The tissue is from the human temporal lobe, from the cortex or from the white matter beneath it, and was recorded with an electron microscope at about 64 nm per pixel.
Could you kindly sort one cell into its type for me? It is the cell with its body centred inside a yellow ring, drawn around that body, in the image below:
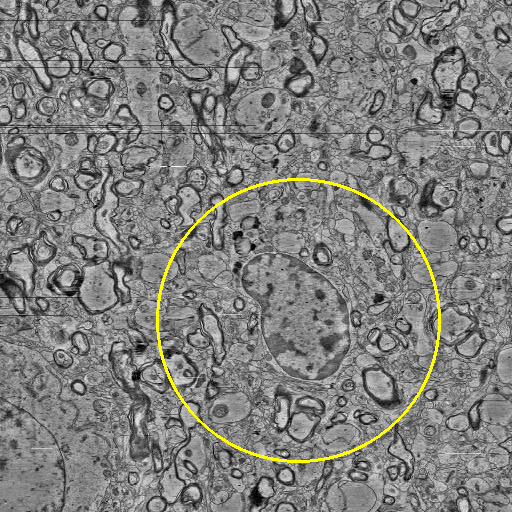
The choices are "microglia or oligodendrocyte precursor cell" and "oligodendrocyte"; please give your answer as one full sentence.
The cell whose body lies centred in the yellow ring here is a microglial cell or oligodendrocyte precursor cell.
